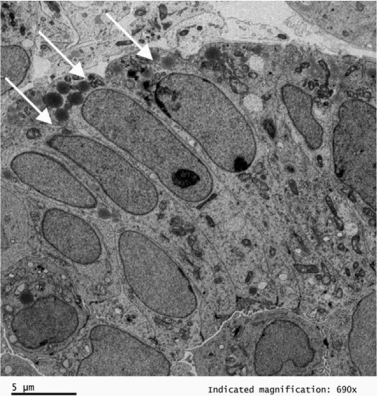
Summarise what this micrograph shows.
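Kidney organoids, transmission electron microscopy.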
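The cells lie closely side by side, each with a large elongated oval nucleus of fine, even chromatin, some with a dark nucleolus. The cytoplasm is dense and continuous, with many small organelles and dark round granules gathered toward one edge of the cell row. Few empty spaces are seen between the cells.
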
